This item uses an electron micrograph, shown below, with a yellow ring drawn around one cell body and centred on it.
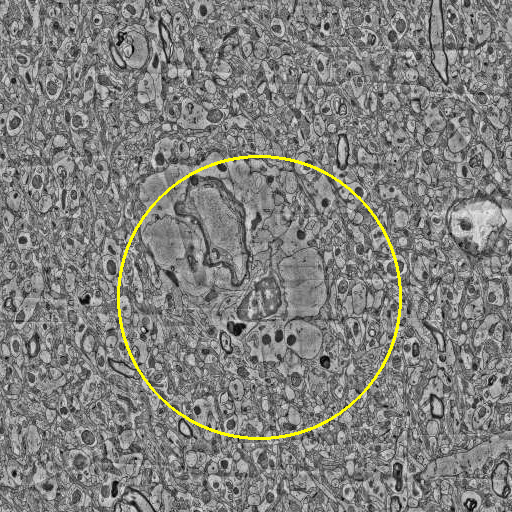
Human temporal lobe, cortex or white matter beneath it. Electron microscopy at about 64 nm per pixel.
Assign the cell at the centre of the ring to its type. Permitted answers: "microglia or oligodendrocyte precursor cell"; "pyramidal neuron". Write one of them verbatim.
microglia or oligodendrocyte precursor cell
